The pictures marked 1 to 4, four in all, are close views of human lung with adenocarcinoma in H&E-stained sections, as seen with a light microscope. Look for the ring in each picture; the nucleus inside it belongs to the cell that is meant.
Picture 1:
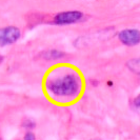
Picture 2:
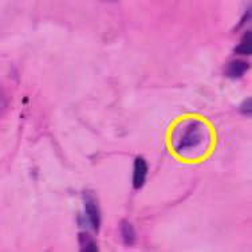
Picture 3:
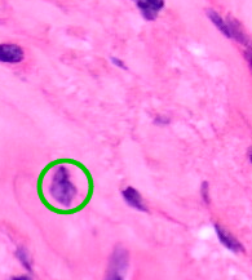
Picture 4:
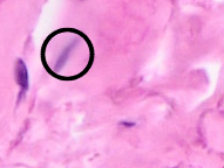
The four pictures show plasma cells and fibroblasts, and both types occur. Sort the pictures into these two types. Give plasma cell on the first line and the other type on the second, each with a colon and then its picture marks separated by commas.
plasma cell: 1
fibroblast: 2, 3, 4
